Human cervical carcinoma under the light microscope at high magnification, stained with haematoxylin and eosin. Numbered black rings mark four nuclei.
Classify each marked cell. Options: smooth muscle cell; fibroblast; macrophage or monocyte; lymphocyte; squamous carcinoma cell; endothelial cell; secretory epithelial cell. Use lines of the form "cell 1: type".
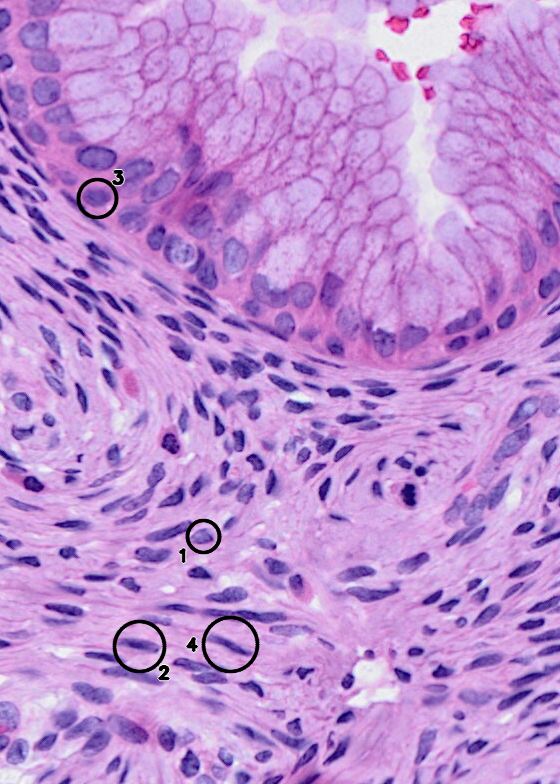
cell 1: fibroblast
cell 2: fibroblast
cell 3: secretory epithelial cell
cell 4: fibroblast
